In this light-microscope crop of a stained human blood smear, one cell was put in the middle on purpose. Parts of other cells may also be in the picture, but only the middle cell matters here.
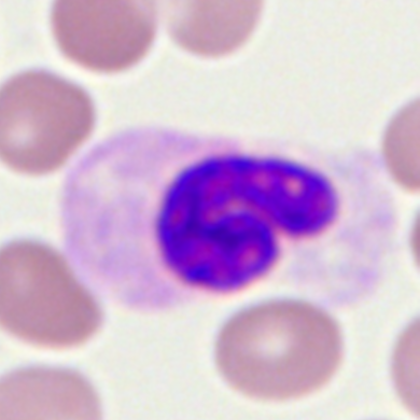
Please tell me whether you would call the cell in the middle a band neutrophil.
yes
